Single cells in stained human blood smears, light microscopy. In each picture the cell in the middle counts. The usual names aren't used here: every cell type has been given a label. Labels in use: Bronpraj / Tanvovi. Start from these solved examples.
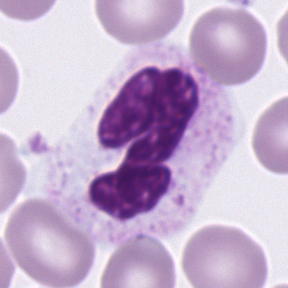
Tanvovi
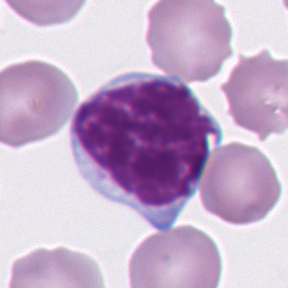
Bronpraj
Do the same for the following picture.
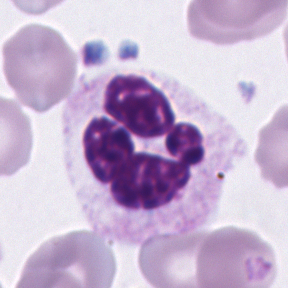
Tanvovi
